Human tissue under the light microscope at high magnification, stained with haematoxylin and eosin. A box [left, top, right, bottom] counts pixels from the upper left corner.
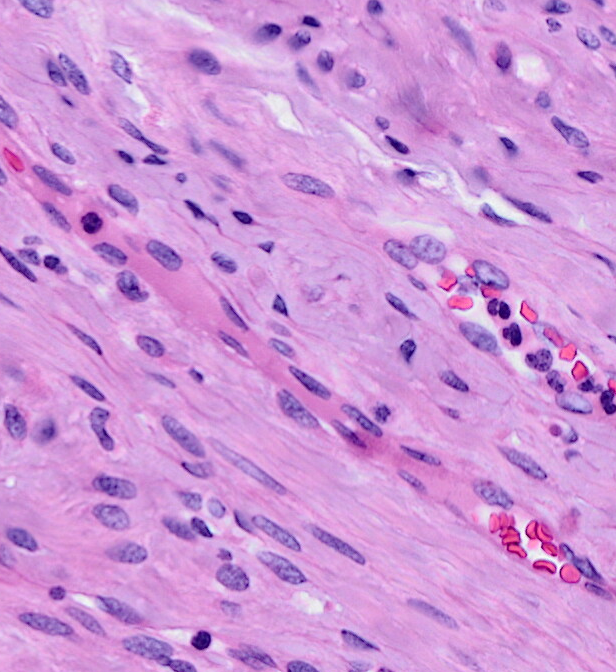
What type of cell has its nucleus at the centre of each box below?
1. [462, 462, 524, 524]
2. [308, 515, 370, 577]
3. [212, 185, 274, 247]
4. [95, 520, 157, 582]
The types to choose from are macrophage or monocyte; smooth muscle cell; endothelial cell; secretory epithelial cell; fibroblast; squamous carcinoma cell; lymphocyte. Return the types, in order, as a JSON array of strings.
["endothelial cell", "fibroblast", "fibroblast", "fibroblast"]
